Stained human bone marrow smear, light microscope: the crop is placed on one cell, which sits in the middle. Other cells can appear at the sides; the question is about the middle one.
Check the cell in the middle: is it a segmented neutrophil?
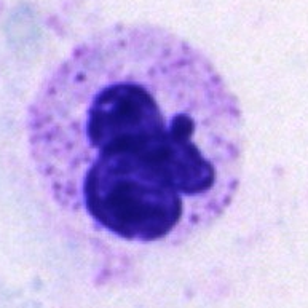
yes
